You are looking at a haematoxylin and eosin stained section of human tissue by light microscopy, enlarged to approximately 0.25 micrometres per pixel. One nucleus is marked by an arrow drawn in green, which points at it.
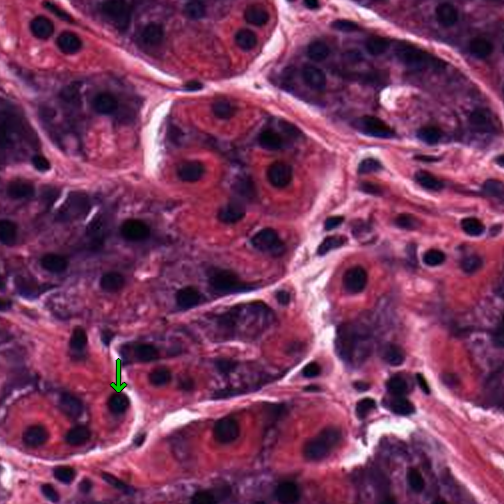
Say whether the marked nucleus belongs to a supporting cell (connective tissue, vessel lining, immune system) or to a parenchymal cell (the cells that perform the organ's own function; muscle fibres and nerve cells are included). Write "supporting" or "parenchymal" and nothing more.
parenchymal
